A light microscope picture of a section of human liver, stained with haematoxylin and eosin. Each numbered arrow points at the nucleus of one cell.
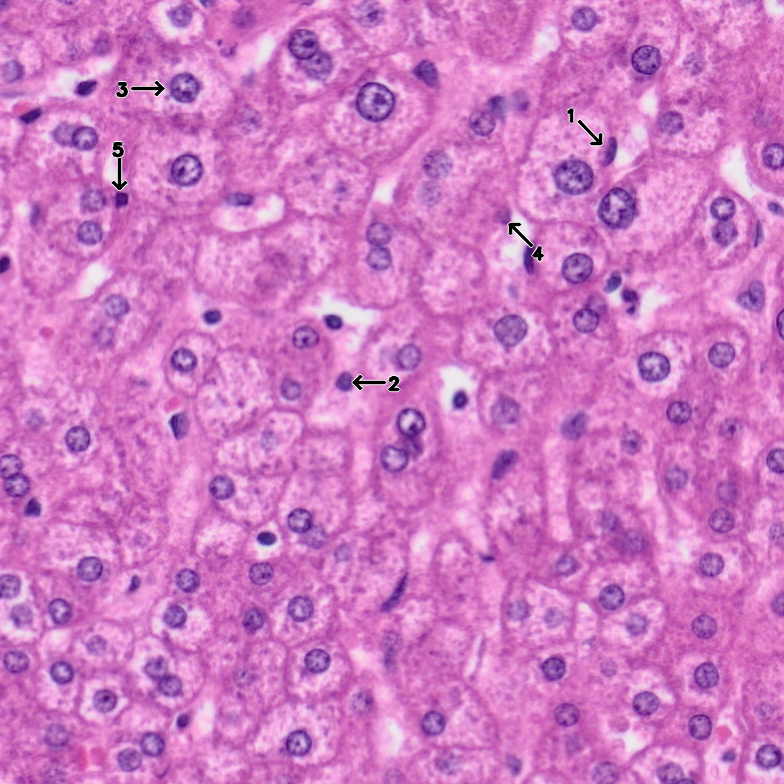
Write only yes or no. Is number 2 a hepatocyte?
no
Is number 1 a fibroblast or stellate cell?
no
